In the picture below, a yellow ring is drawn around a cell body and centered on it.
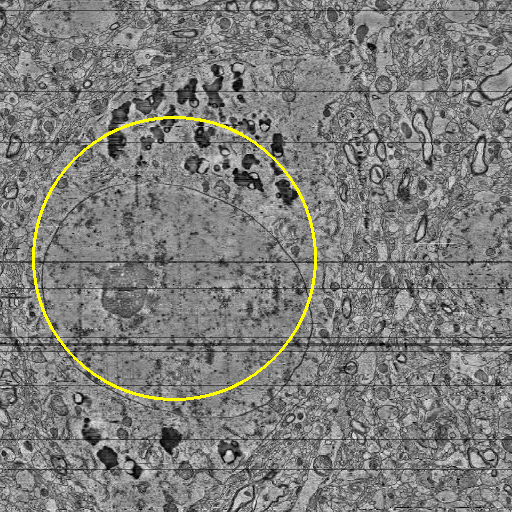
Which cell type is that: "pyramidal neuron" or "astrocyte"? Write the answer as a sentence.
The cell centered in the ring is a pyramidal neuron.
